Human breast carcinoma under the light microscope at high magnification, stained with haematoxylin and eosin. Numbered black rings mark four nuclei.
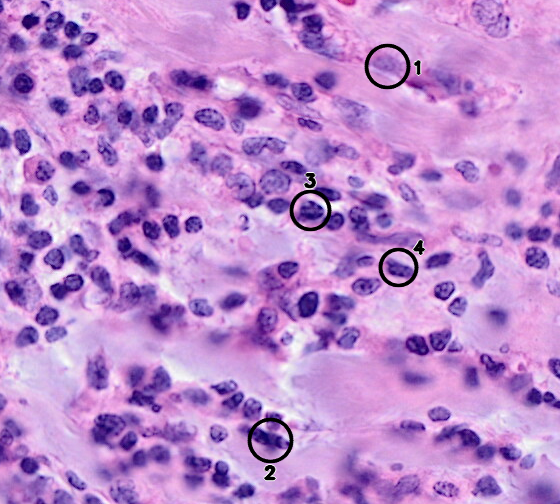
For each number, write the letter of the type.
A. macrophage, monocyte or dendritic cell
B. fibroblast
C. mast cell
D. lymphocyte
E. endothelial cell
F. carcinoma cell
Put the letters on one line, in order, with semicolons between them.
B; D; D; D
